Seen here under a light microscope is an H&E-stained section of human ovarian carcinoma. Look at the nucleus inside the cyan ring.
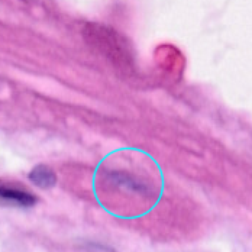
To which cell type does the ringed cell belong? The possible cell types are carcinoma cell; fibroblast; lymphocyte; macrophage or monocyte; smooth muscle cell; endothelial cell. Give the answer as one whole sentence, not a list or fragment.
In cellular terms, the ringed cell is a smooth muscle cell.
